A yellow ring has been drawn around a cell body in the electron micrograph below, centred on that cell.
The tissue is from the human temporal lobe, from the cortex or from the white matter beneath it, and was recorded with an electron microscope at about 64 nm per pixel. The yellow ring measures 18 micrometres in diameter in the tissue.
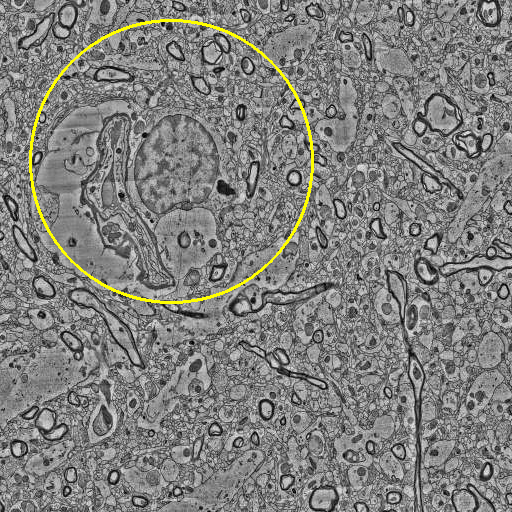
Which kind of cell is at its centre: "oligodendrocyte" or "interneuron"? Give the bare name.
oligodendrocyte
